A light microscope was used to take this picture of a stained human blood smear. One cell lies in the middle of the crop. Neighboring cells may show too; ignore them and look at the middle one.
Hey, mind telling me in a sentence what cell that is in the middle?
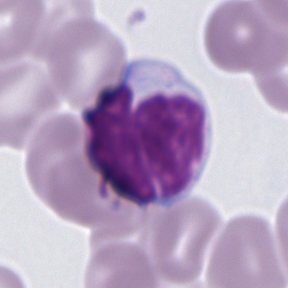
In this crop, the cell at the very middle is a large granular lymphocyte.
